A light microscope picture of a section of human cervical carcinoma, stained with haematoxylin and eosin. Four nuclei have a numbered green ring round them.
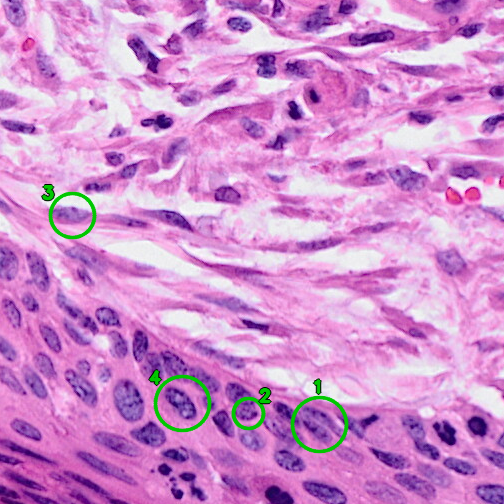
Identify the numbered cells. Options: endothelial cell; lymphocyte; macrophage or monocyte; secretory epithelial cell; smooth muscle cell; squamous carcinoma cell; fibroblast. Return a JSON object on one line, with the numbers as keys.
{"1": "squamous carcinoma cell", "2": "squamous carcinoma cell", "3": "fibroblast", "4": "squamous carcinoma cell"}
